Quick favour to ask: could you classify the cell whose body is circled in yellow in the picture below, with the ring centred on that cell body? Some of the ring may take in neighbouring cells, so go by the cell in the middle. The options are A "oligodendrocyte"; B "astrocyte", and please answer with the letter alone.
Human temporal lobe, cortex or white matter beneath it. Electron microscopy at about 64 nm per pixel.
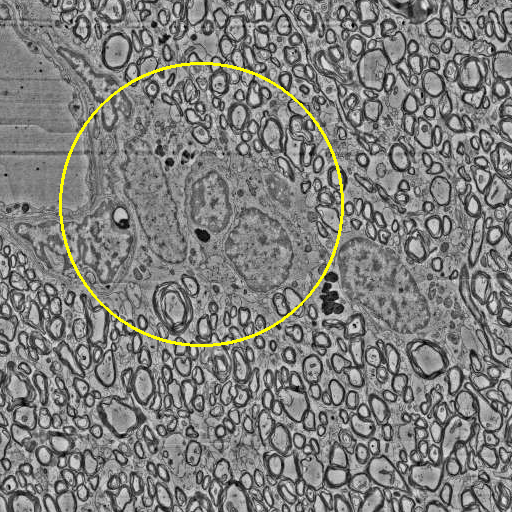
A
